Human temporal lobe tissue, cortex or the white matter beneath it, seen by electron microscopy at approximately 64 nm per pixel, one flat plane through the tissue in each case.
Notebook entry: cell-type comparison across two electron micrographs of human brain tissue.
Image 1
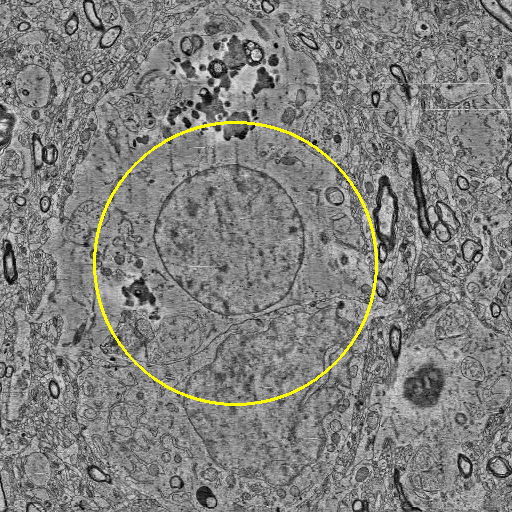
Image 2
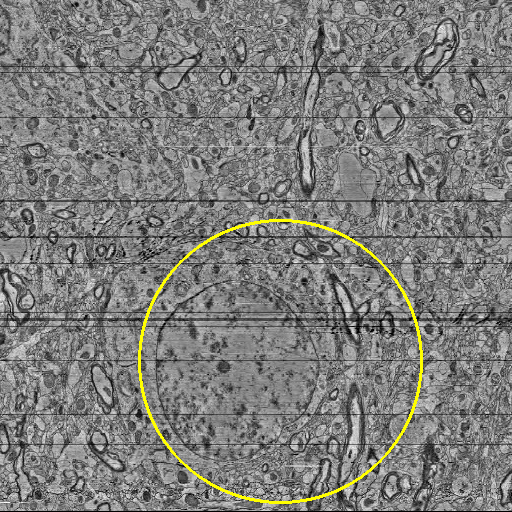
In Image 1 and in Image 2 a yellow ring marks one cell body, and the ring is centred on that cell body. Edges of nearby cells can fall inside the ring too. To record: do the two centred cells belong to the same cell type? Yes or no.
no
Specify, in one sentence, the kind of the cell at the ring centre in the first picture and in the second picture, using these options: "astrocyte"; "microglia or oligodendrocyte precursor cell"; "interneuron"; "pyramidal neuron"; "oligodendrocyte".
So the first is an astrocyte, the second a pyramidal neuron.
